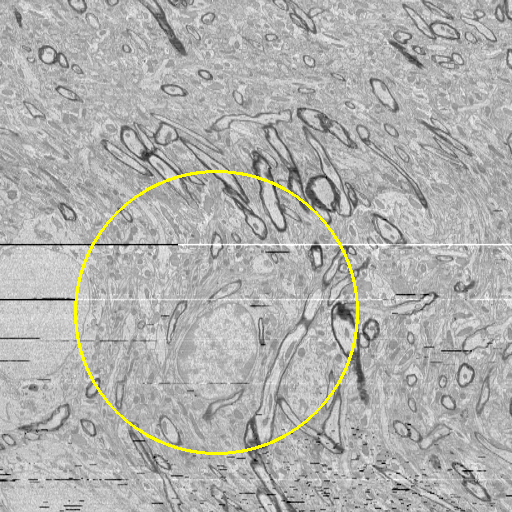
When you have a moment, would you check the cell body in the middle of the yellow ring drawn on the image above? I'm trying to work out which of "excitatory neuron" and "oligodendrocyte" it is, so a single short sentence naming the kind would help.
This cell body belongs to an oligodendrocyte.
